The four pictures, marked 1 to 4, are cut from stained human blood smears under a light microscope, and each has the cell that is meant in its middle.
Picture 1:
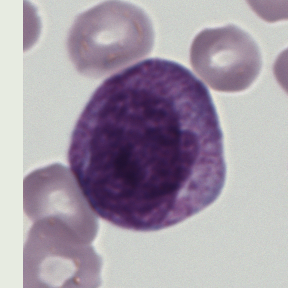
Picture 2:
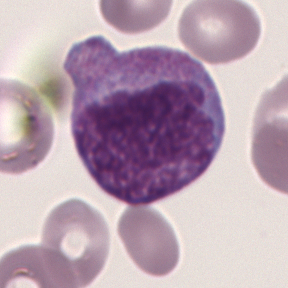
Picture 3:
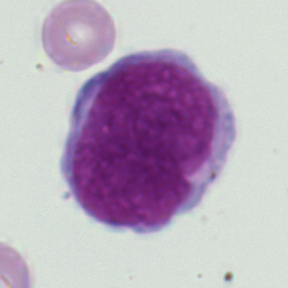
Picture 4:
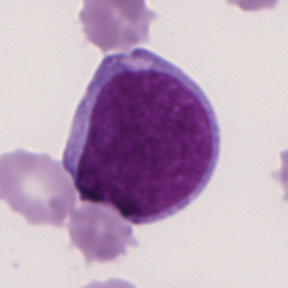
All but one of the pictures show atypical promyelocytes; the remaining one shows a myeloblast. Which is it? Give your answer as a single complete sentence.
The picture with the myeloblast is 4.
